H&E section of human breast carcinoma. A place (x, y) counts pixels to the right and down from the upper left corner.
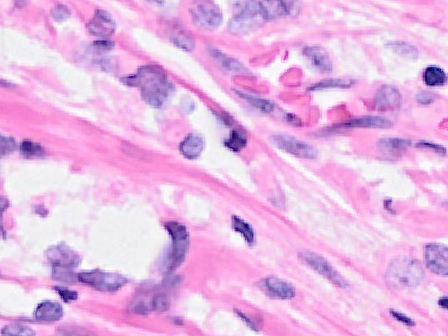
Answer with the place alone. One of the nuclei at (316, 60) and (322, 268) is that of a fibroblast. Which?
(322, 268)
